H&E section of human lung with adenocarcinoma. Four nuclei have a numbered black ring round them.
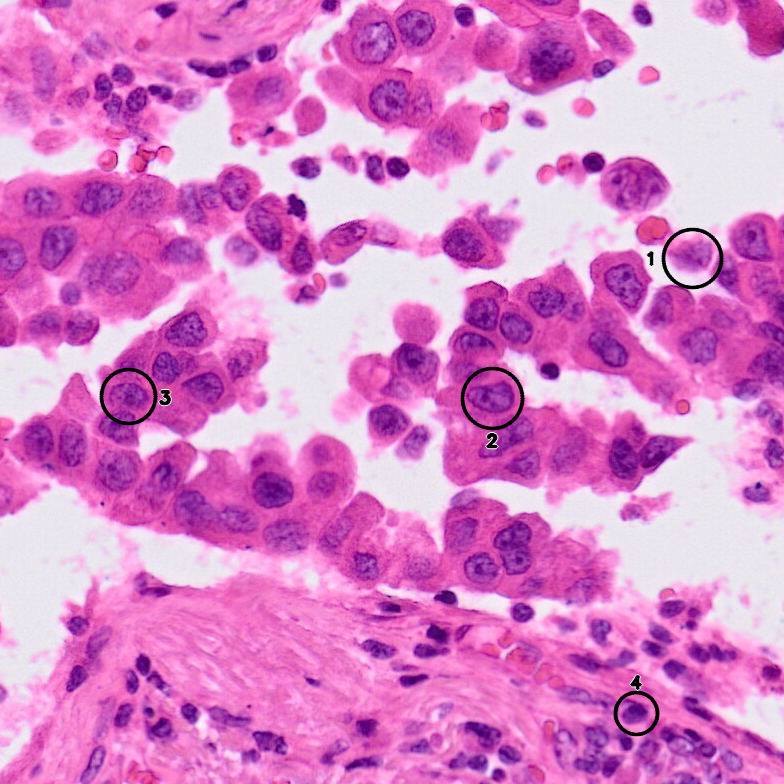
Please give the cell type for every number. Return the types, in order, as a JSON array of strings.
["carcinoma cell", "carcinoma cell", "carcinoma cell", "lymphocyte"]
